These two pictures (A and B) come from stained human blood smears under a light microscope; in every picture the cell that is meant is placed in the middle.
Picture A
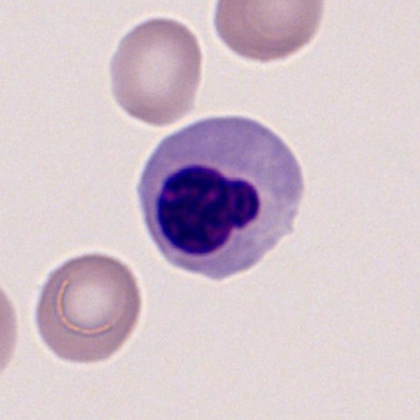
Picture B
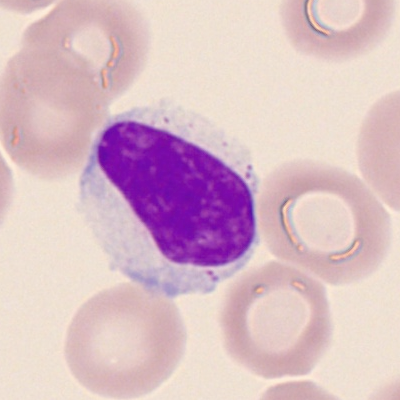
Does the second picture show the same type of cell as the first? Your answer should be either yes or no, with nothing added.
no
